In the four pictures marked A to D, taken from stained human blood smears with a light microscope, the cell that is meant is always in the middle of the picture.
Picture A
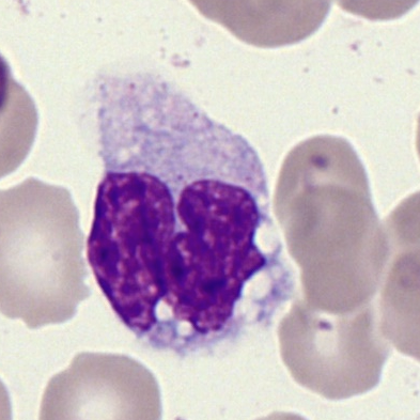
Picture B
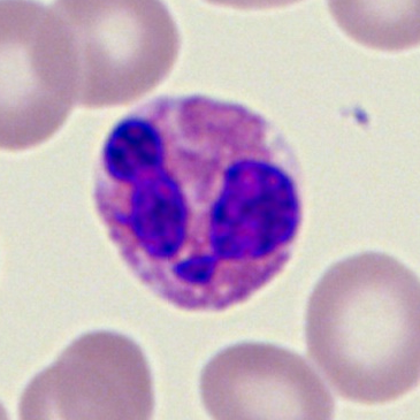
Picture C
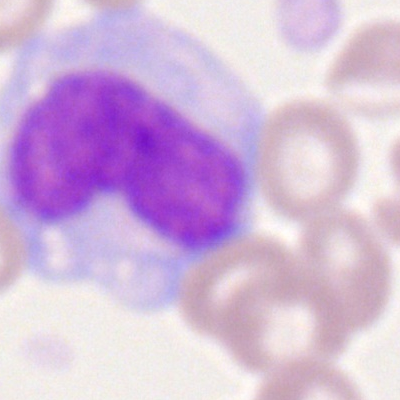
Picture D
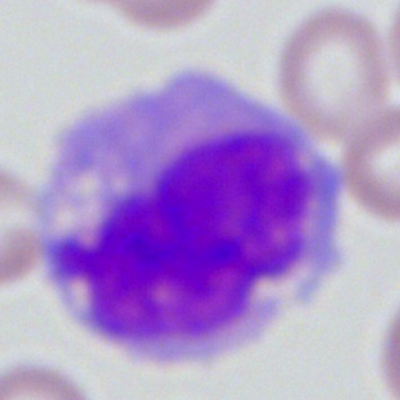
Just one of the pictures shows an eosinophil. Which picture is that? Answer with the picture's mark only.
B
